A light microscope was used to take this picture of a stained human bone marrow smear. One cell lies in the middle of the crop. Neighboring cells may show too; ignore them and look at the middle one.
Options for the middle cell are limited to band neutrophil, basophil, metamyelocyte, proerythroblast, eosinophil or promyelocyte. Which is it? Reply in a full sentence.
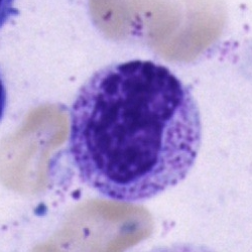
This particular crop is centered on a metamyelocyte.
